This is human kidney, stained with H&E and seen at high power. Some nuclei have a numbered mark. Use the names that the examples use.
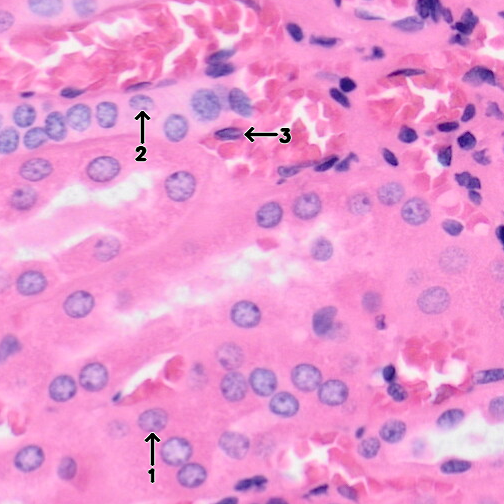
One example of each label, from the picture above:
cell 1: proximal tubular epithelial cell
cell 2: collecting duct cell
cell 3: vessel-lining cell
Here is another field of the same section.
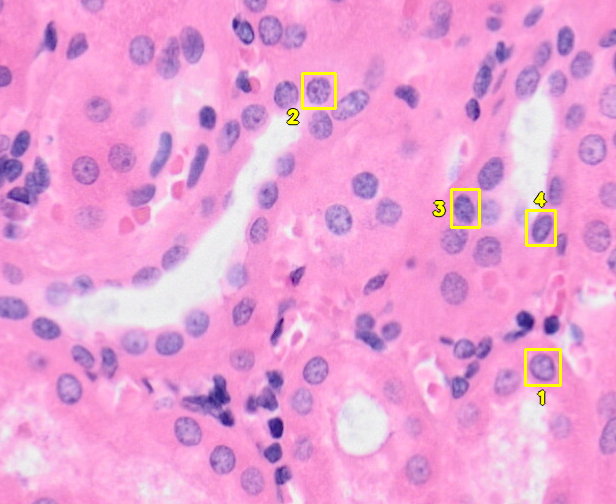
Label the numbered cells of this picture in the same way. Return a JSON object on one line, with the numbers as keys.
{"1": "proximal tubular epithelial cell", "2": "collecting duct cell", "3": "collecting duct cell", "4": "collecting duct cell"}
